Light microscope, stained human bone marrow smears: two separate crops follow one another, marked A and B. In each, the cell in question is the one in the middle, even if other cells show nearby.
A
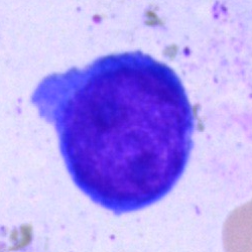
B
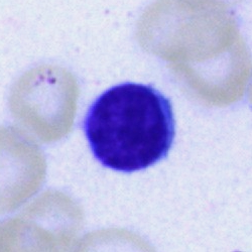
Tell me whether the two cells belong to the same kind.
no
